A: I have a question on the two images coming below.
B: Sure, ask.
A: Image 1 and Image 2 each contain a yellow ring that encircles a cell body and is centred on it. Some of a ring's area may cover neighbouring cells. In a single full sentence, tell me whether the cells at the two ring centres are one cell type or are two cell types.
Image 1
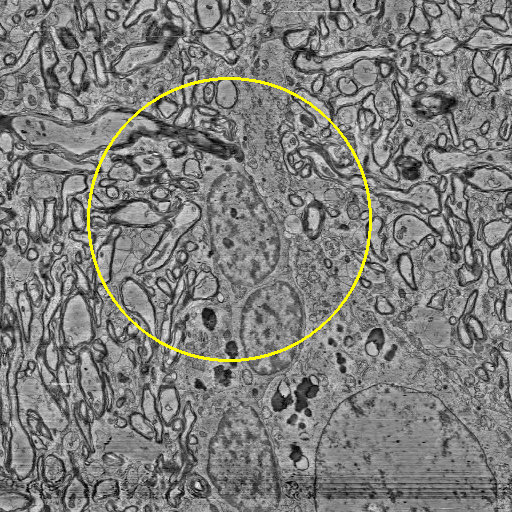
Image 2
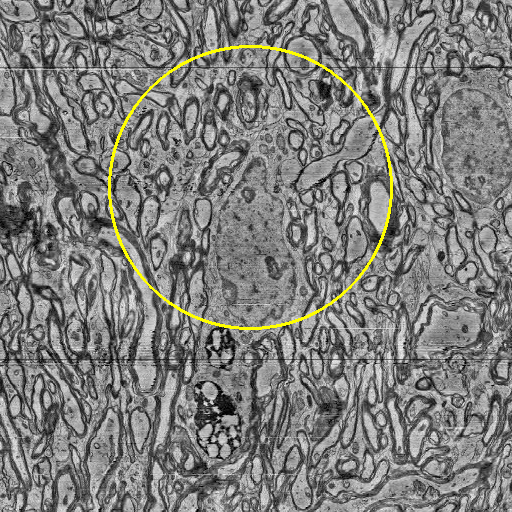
As for the ring-centre cells, the one in Image 1 and the one in Image 2 are two cell types.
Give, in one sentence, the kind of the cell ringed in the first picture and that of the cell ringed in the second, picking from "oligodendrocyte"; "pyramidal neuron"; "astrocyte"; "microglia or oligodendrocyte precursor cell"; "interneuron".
For the first picture it is an oligodendrocyte; for the second, an astrocyte.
